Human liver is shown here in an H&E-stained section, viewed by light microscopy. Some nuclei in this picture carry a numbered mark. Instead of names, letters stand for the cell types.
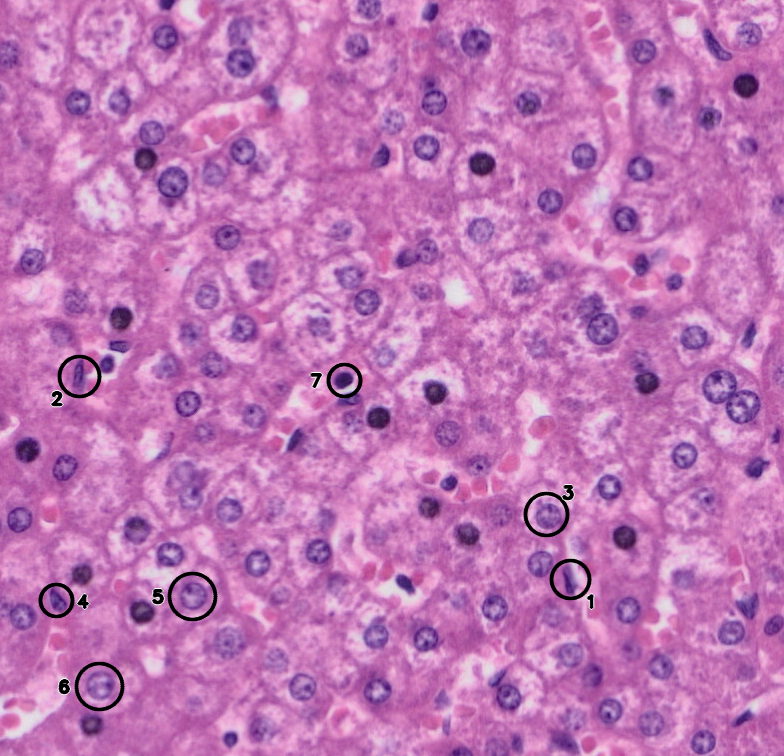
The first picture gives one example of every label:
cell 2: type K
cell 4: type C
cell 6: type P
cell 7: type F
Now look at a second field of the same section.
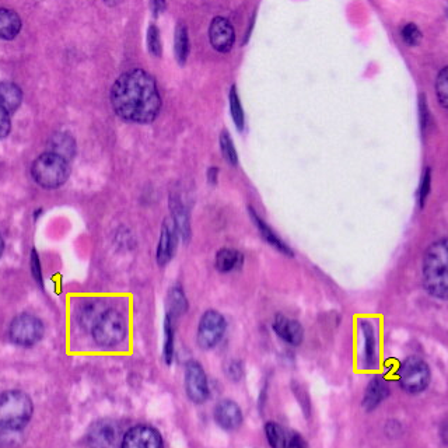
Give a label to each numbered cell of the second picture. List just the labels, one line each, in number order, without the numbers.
type P
type C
